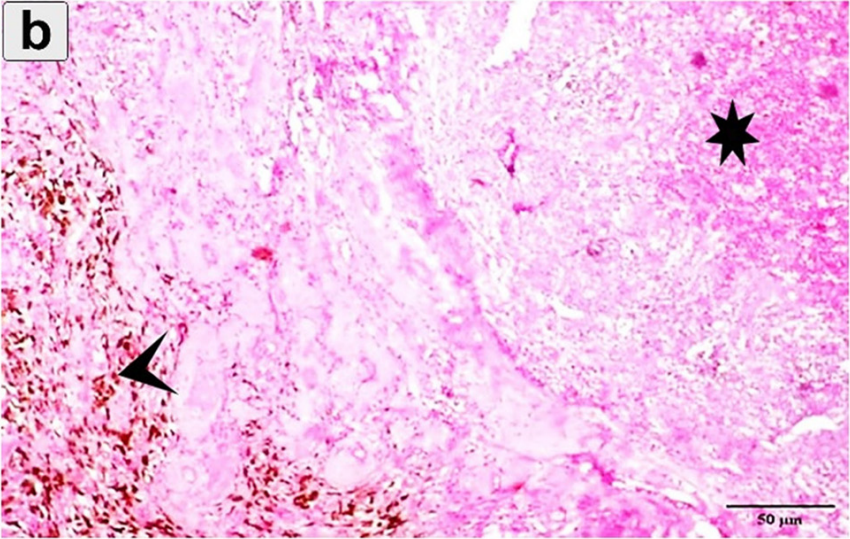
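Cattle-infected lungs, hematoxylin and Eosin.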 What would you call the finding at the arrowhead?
Hemosiderosis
